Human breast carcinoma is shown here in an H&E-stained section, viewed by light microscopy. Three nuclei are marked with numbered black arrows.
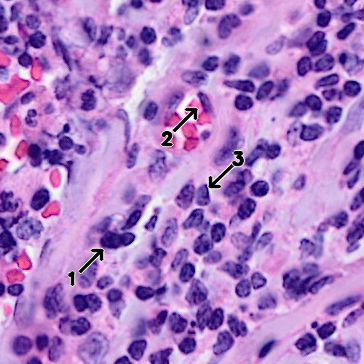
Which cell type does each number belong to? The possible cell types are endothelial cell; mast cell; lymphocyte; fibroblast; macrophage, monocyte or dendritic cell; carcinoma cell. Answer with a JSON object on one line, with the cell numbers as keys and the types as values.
{"1": "lymphocyte", "2": "endothelial cell", "3": "lymphocyte"}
